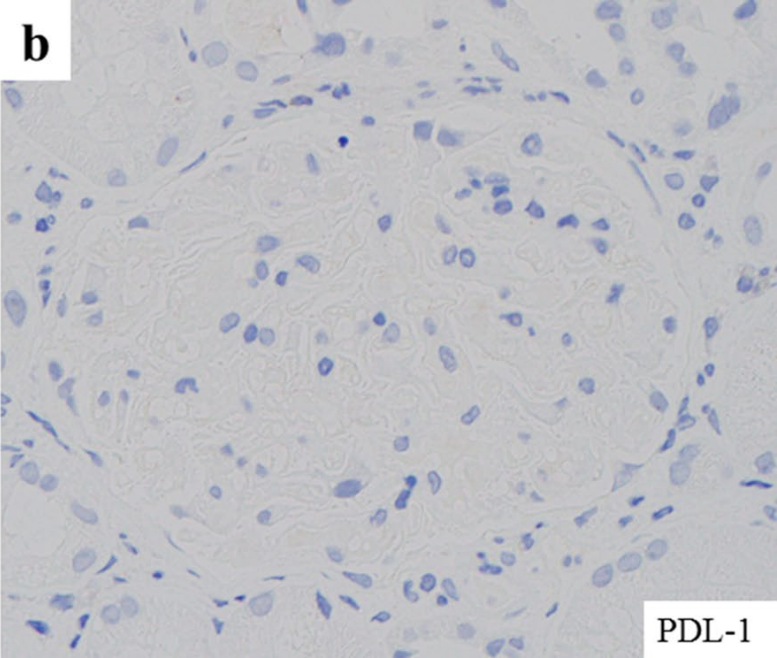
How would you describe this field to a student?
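A glomerulus occupies most of the field, seen as a rounded tuft of tortuous capillary loops with scattered blue nuclei, bounded by a thin rim of flattened cells. Tubular epithelial profiles with pale cytoplasm and round nuclei surround it. No brown staining is evident in the glomerular tuft; the tissue appears only in blue counterstain.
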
